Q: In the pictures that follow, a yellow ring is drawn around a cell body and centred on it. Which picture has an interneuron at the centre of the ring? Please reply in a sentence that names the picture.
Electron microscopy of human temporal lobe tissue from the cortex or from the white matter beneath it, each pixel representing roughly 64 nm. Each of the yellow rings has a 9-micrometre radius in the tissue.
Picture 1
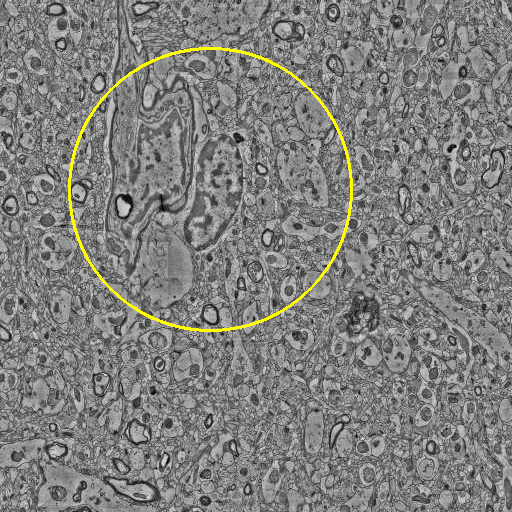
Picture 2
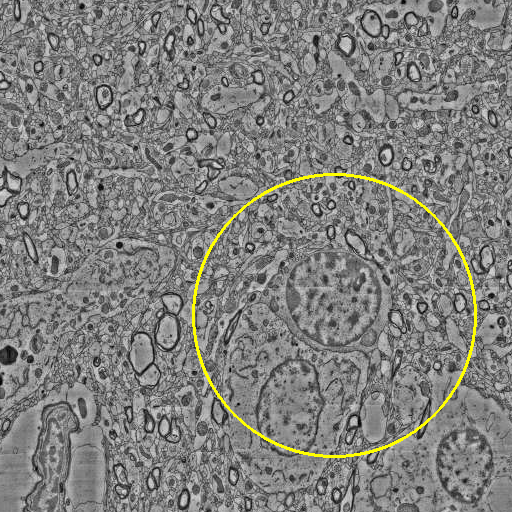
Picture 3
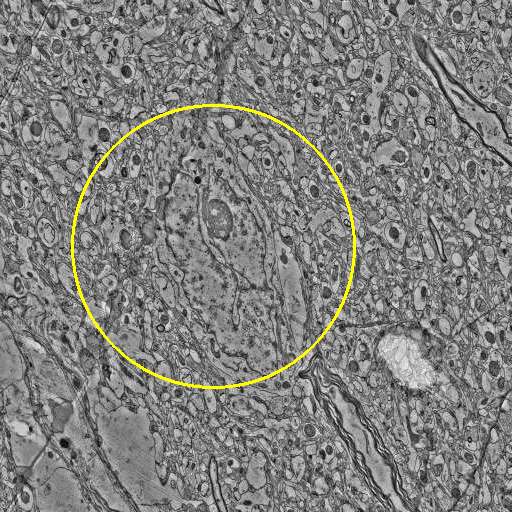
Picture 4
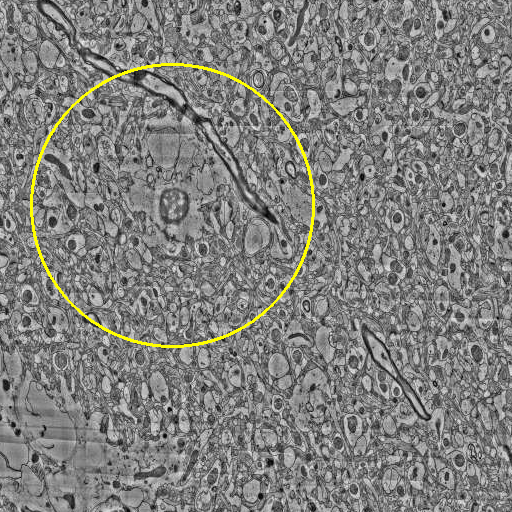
Picture 3 shows it at the centre of its ring.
